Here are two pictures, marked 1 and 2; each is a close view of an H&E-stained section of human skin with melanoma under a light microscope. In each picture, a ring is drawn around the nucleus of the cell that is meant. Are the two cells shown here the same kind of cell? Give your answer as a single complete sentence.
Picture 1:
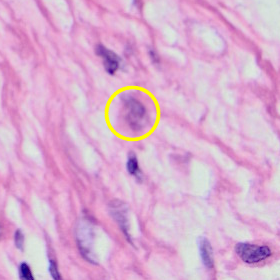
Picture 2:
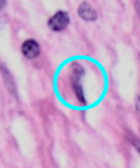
Yes, both are “fibroblasts or myofibroblasts”.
